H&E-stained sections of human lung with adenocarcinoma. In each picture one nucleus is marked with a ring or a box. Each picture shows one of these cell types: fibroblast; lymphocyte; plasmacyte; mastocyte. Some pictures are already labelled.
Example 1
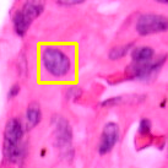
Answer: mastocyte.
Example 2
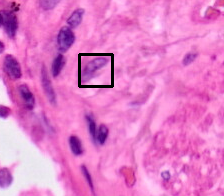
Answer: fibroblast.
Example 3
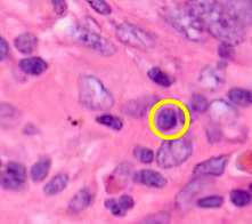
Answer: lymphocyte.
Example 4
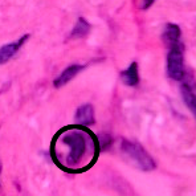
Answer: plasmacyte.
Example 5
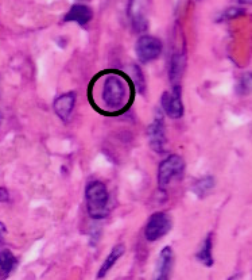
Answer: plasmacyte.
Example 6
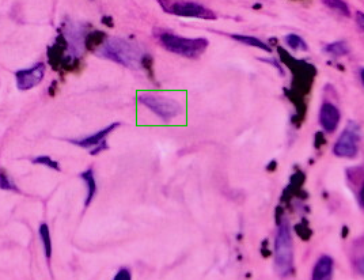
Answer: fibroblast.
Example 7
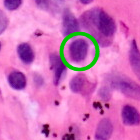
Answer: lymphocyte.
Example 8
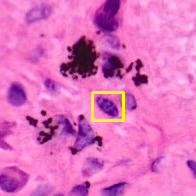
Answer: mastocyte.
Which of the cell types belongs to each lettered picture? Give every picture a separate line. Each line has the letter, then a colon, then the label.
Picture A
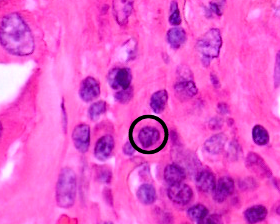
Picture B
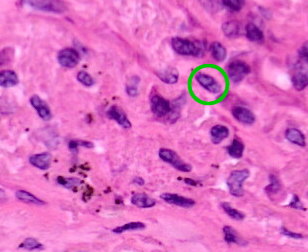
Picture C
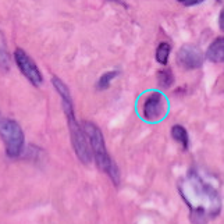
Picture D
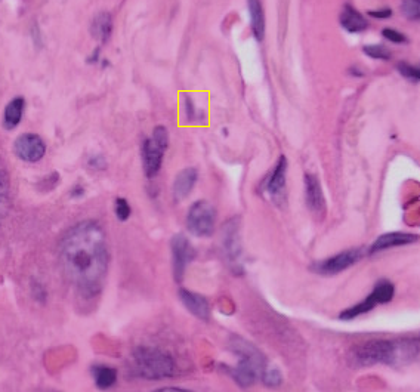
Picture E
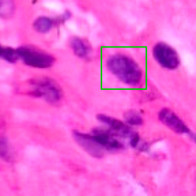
A: plasmacyte.
B: mastocyte.
C: mastocyte.
D: fibroblast.
E: plasmacyte.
